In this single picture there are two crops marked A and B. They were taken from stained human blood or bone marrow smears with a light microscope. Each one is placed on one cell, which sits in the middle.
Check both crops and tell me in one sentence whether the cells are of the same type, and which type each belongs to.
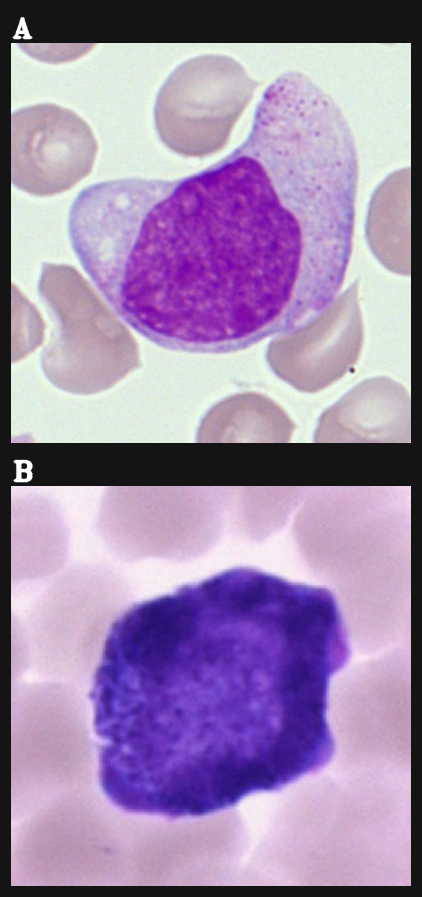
No, it is a monocyte that crop A shows, and a blast that crop B shows.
